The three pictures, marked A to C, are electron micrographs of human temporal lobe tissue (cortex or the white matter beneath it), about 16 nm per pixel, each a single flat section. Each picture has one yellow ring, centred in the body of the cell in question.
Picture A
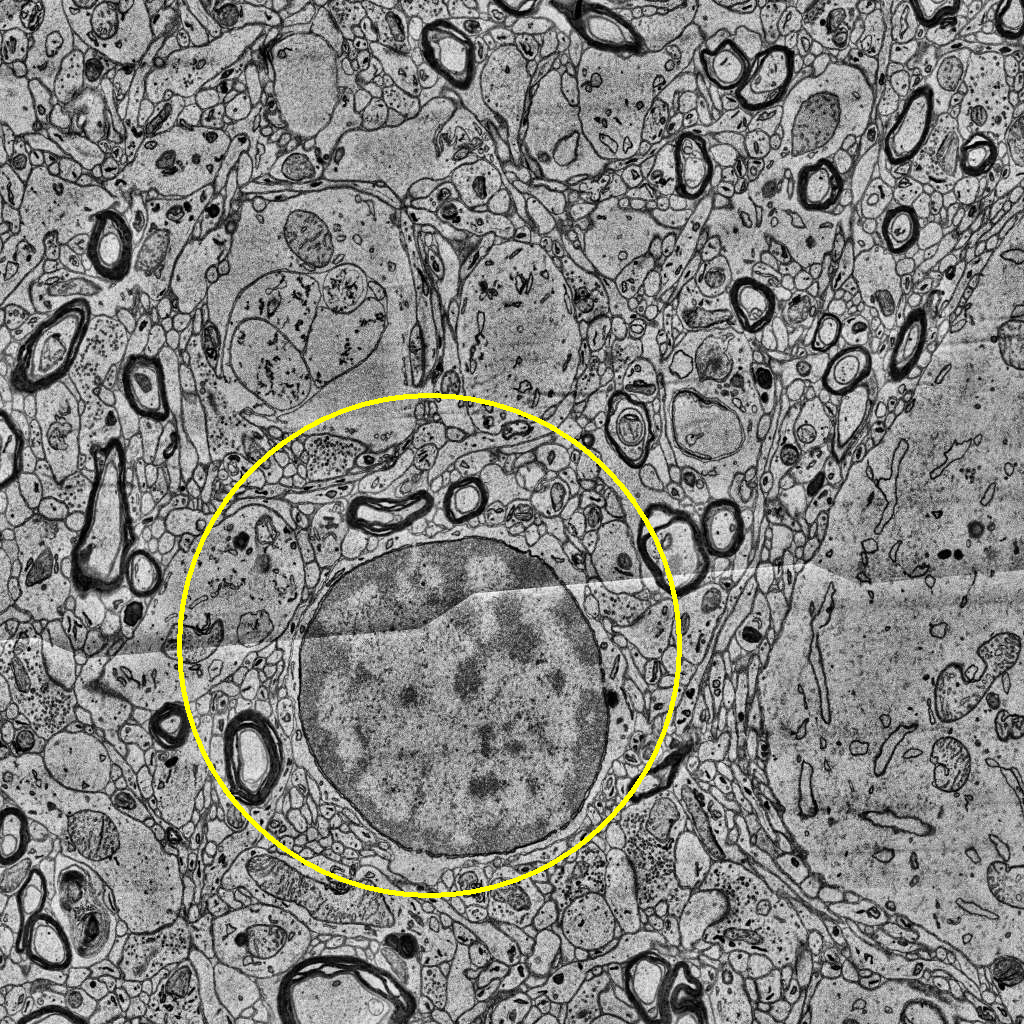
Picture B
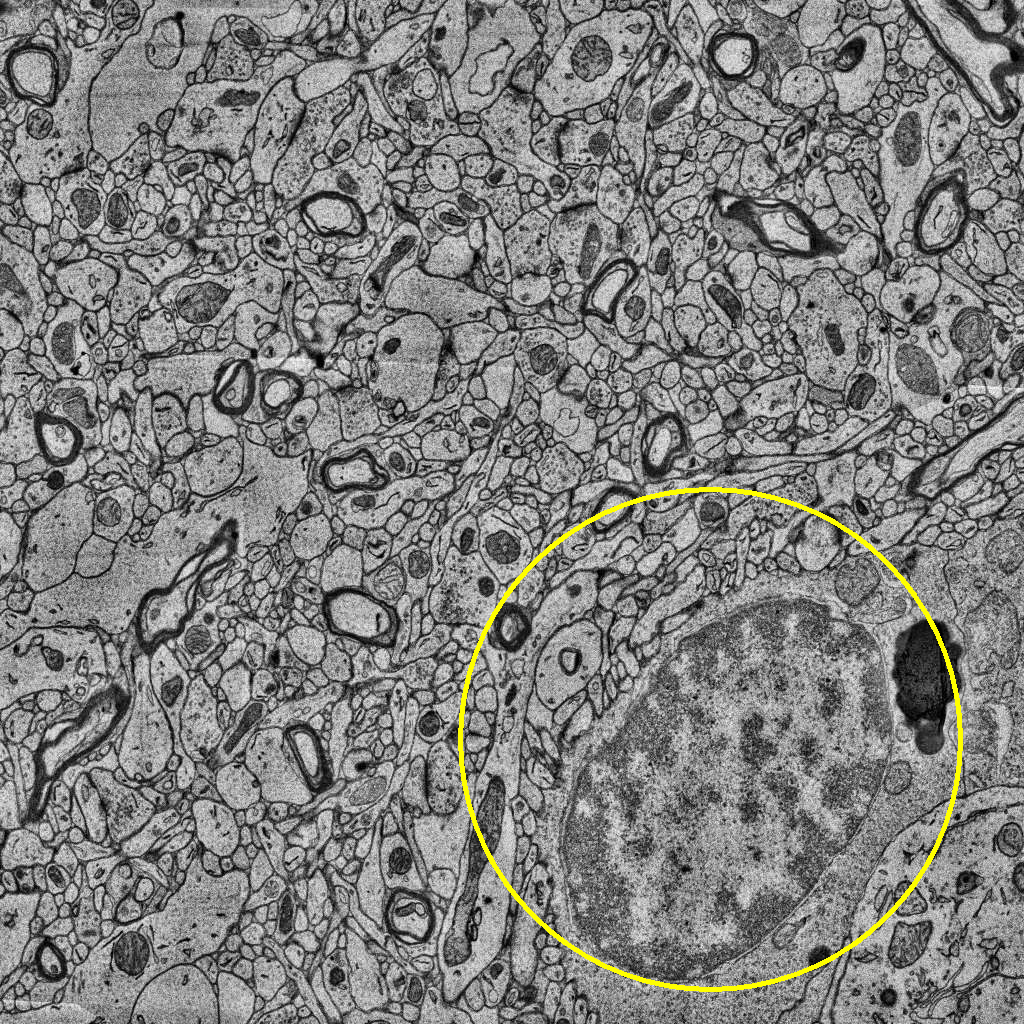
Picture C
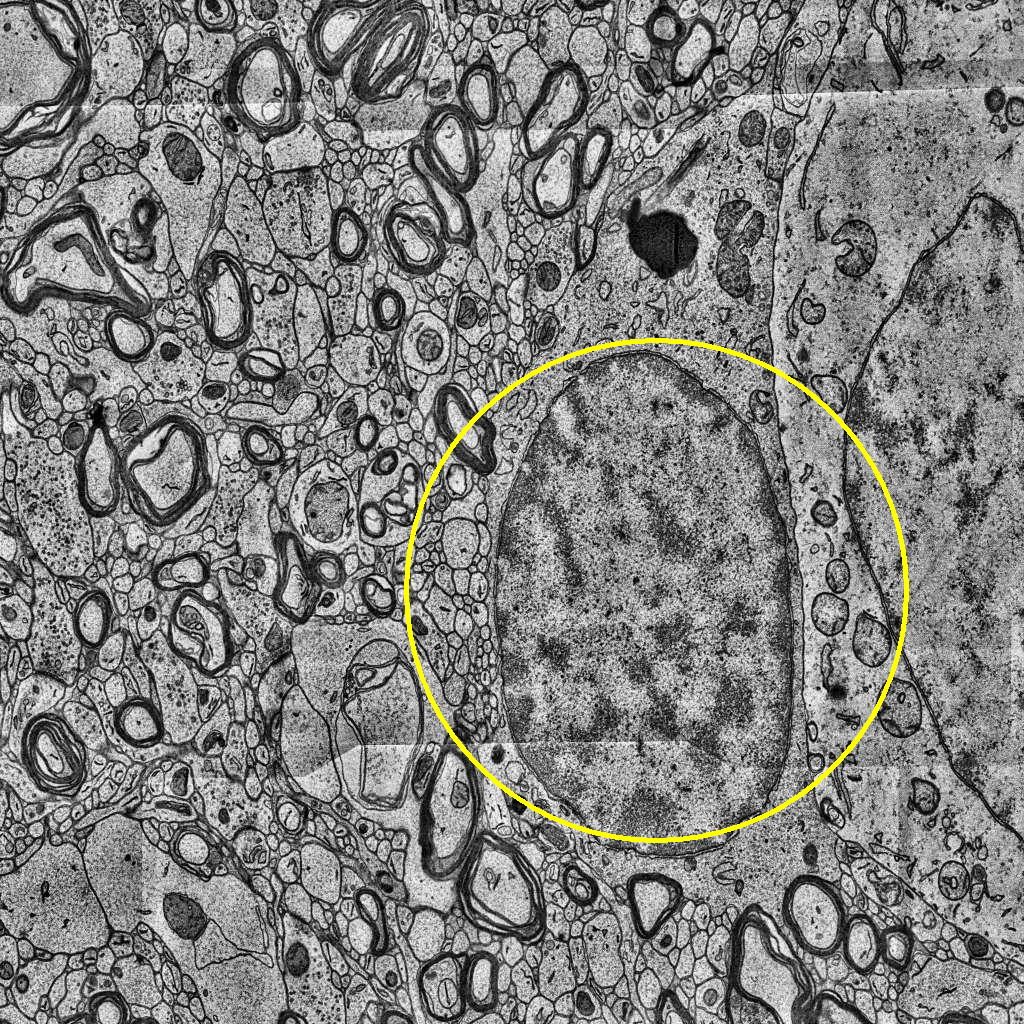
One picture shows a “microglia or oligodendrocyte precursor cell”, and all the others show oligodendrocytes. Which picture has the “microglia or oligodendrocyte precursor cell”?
Picture A is the one that shows the “microglia or oligodendrocyte precursor cell”.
